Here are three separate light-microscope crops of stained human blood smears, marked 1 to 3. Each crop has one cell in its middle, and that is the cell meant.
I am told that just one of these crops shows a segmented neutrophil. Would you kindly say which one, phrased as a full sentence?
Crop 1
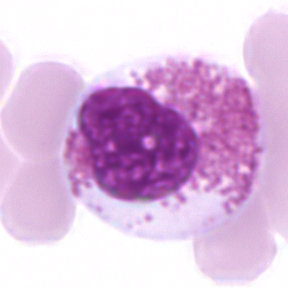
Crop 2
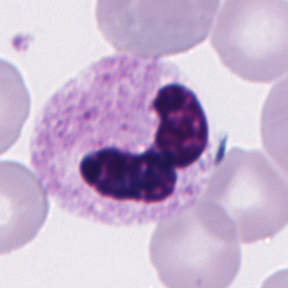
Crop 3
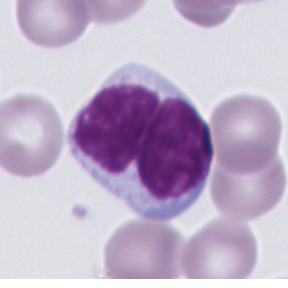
Of the labelled crops, the one that shows a segmented neutrophil is crop 2.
